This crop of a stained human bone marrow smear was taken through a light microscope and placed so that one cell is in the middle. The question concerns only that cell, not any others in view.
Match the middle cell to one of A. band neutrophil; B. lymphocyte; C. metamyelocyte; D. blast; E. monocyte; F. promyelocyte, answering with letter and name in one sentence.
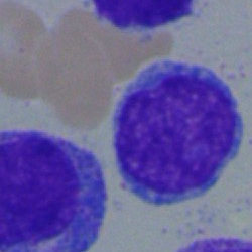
The correct identification, given in option D, is that the central cell is a blast.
